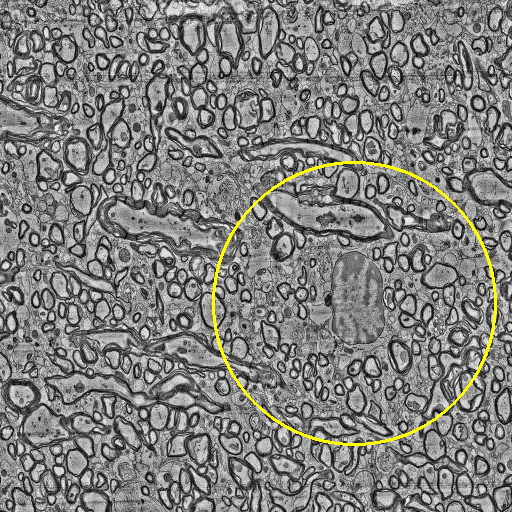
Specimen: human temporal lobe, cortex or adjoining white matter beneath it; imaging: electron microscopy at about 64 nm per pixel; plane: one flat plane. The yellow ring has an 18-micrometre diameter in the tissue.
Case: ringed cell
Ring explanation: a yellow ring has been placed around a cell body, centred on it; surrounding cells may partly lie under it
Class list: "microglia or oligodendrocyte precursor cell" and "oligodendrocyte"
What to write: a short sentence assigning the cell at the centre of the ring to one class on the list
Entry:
The cell at the ring's centre is a microglial cell or oligodendrocyte precursor cell.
